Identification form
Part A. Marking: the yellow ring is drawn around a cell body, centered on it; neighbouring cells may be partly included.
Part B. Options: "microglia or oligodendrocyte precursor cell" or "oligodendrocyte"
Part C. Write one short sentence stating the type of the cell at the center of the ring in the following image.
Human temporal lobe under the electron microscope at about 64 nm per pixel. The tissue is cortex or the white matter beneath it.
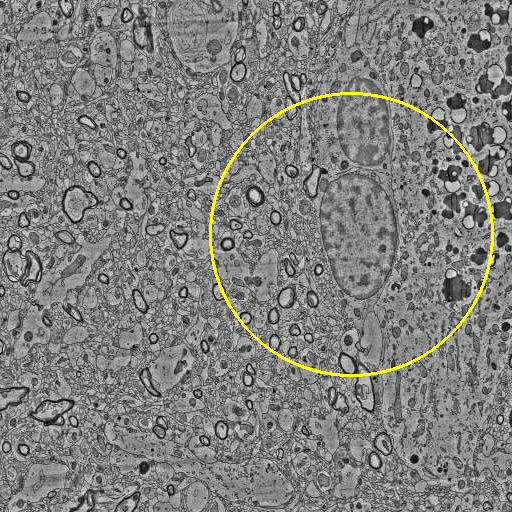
The center of the ring holds an oligodendrocyte.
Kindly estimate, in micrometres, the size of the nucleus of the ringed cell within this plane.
Approximately 8 by 5 micrometers, which makes the nucleus clearly longer than it is wide in this plane.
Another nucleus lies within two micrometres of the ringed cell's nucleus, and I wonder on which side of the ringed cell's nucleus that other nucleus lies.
The other nucleus lies above it.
